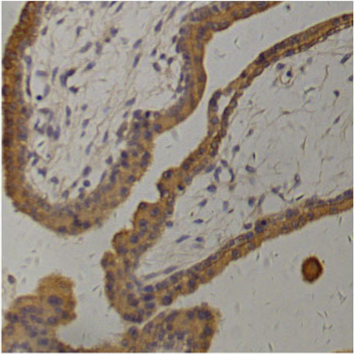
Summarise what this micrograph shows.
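Chorionic villi are shown as long branches whose loose, pale core holds scattered spindle-shaped cells with small blue nuclei. Each branch is covered by a continuous epithelial layer of trophoblast in which the cytoplasm is stained brown and the blue nuclei lie in a row. The brown covering stands out sharply against the almost unstained core and the empty space between branches. A small round brown body lies free at the right edge.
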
